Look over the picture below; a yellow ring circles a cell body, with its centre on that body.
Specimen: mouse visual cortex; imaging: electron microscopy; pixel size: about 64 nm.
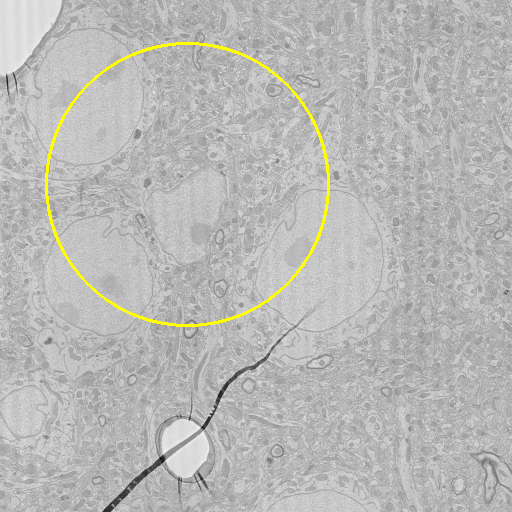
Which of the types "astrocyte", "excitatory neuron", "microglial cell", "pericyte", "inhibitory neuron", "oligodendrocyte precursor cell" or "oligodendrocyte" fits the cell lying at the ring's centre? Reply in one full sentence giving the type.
The picture shows an oligodendrocyte precursor cell at the centre of the yellow ring.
